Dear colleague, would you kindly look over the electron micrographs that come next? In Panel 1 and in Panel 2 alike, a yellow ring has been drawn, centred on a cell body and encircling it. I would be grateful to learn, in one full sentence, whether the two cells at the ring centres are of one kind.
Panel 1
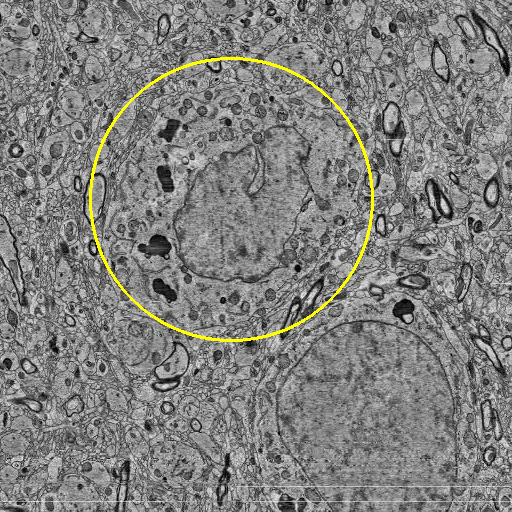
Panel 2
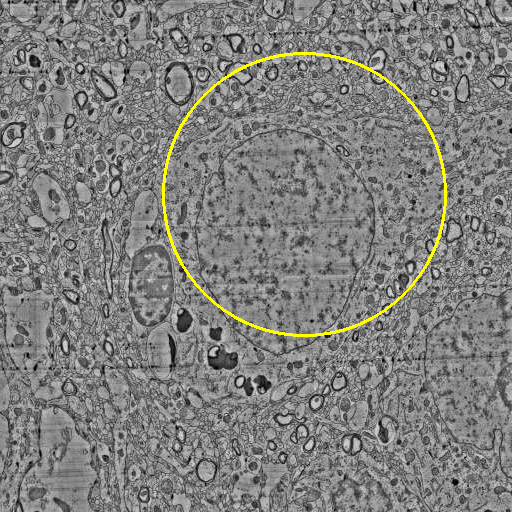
No, the cells in the middle of the rings in the two panels are of two kinds.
